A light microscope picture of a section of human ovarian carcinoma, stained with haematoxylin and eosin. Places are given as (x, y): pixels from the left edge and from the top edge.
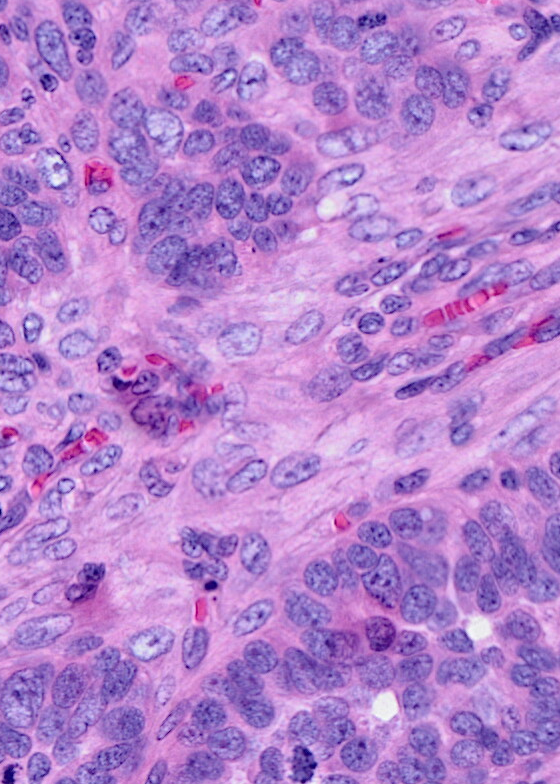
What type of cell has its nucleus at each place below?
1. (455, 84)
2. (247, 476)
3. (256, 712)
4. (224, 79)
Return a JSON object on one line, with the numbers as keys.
{"1": "carcinoma cell", "2": "fibroblast", "3": "carcinoma cell", "4": "fibroblast"}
